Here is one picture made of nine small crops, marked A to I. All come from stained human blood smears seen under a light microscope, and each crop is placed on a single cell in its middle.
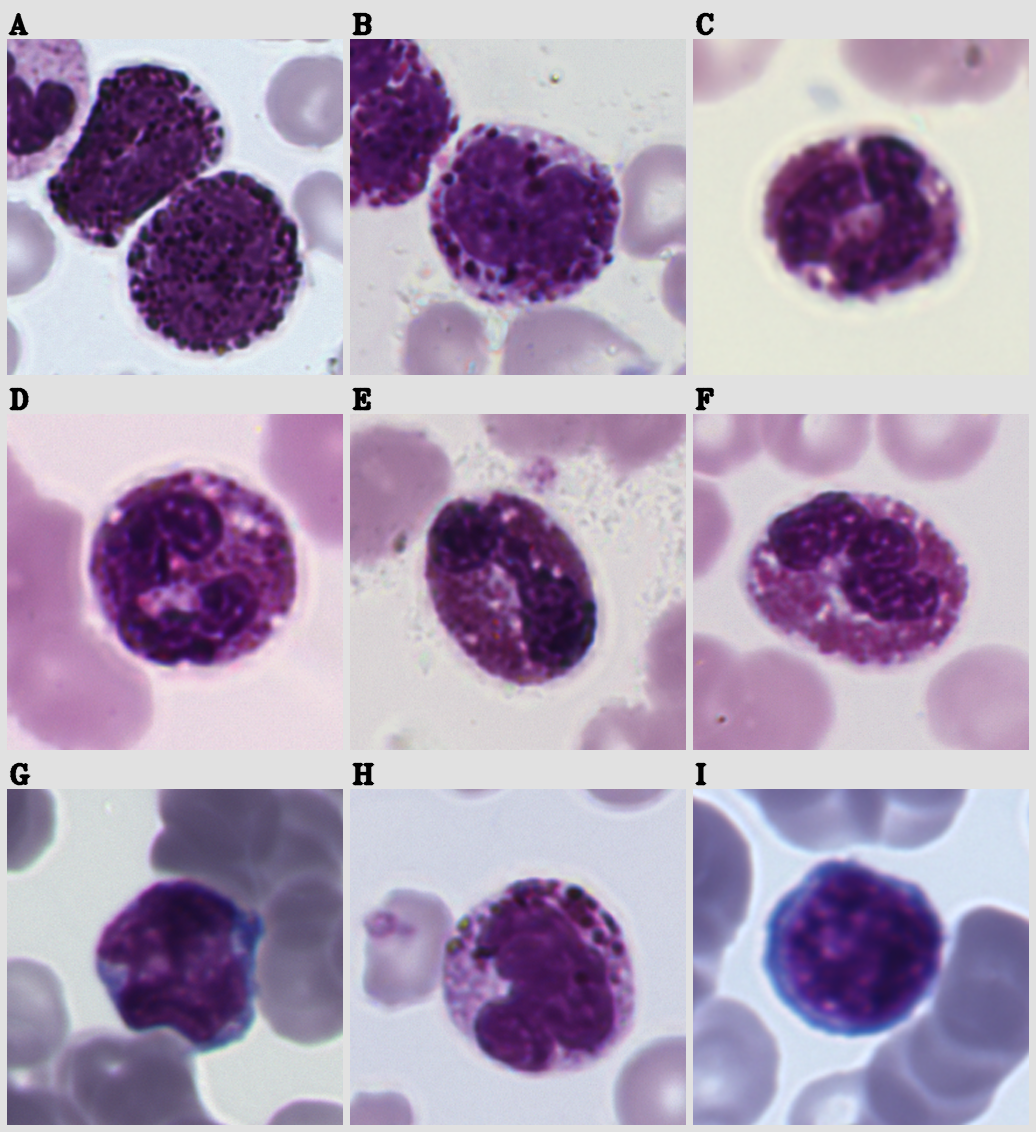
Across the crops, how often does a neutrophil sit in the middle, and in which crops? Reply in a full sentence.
Since the crops show no neutrophils, a count of zero follows.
